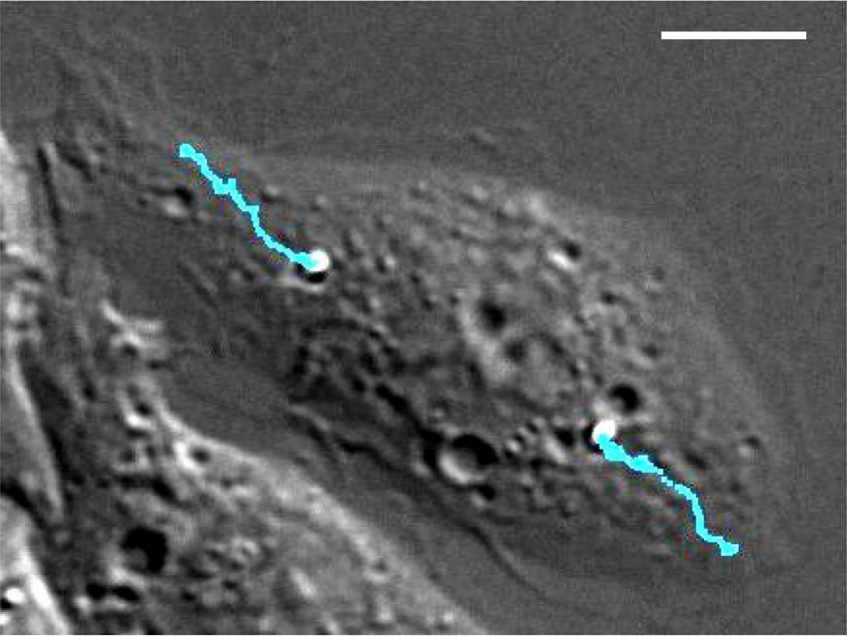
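The cell body is broad and granular, crowded with small round vesicles and several larger dark vacuoles, while a thin, smooth, flat lamella fans out around its margin. The two particles appear as small bright spheres with a dark edge, one in the upper part and one in the lower right part of the cell. Parts of neighbouring cells with similar granular texture lie at the left edge of the field.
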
